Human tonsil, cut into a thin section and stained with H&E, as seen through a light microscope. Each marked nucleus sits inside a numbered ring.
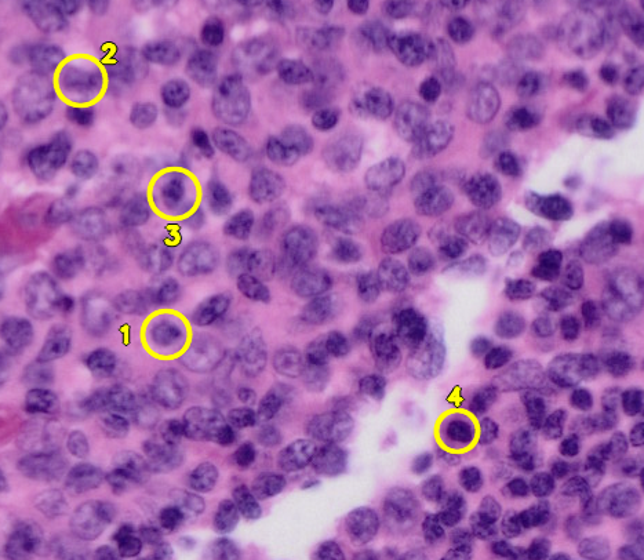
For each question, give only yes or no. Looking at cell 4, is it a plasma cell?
yes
